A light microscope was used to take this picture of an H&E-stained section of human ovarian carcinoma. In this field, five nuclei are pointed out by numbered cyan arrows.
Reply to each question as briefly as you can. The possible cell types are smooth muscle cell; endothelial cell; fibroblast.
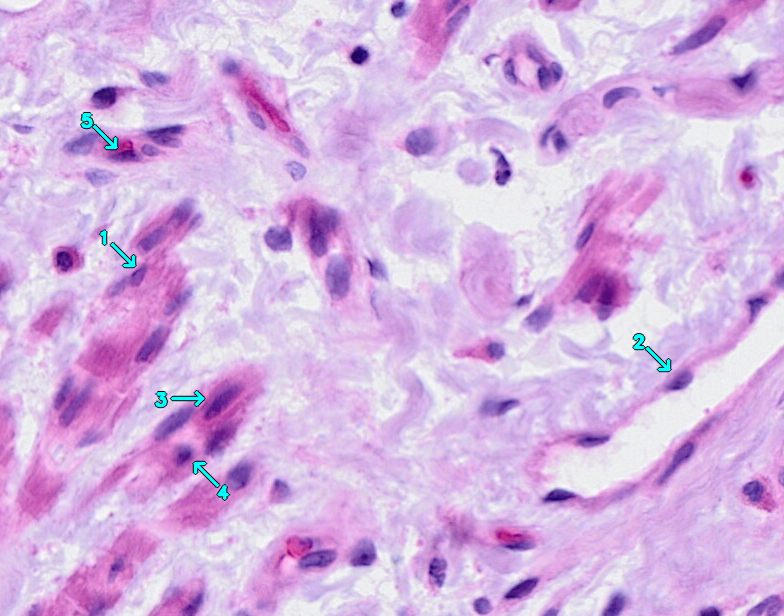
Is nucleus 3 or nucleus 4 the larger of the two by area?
3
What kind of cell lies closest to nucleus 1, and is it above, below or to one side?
a smooth muscle cell below and to the left of nucleus 1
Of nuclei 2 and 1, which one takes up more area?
2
